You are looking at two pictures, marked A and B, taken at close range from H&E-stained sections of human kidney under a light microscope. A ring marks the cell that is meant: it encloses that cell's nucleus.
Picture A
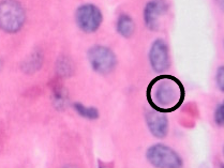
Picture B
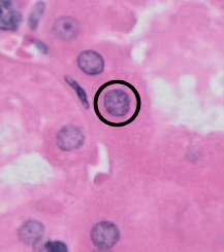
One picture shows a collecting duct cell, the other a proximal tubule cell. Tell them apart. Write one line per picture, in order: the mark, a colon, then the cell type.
A: collecting duct cell
B: proximal tubule cell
